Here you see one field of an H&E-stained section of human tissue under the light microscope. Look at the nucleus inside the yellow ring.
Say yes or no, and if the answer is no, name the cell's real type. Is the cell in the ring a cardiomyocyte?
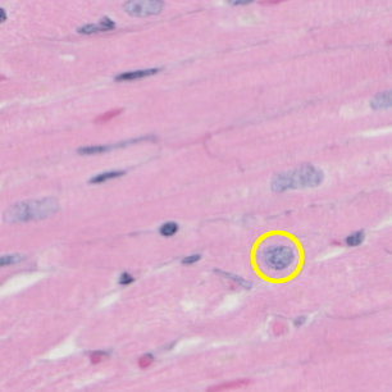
Yes.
